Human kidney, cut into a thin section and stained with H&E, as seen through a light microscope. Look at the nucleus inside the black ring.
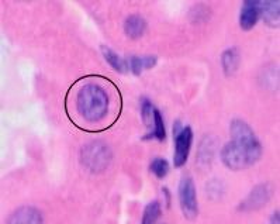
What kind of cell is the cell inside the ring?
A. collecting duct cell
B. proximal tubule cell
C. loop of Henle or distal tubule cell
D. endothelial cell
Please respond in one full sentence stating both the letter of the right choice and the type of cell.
Option B is correct here; the cell inside the ring is a proximal tubule cell.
